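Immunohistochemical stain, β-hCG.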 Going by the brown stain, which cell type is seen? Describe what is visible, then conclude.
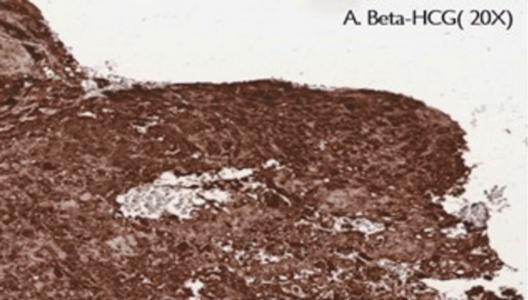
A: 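Tumor cells. A large solid mass of cells is stained dark brown throughout. The mass has a rounded border against a clear space. A small pale area lies within the stained mass.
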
